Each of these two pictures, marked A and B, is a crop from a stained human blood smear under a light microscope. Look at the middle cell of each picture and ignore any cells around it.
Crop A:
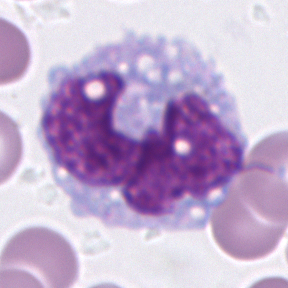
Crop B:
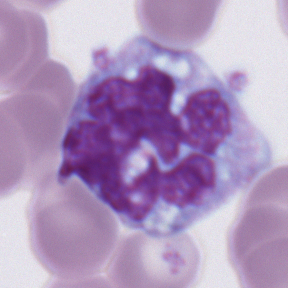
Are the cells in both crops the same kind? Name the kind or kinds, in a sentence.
Yes, both crops in the pair show monocytes.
